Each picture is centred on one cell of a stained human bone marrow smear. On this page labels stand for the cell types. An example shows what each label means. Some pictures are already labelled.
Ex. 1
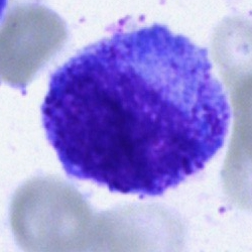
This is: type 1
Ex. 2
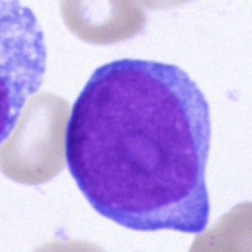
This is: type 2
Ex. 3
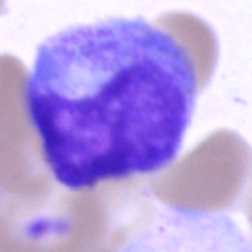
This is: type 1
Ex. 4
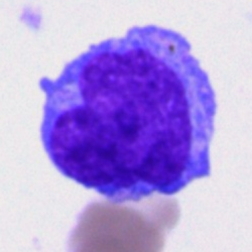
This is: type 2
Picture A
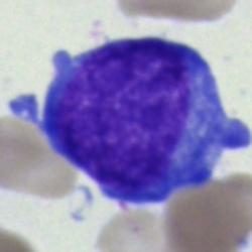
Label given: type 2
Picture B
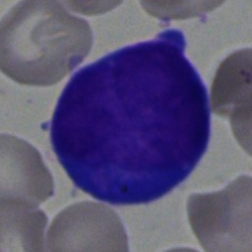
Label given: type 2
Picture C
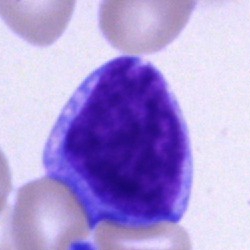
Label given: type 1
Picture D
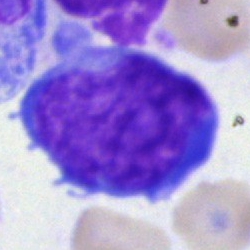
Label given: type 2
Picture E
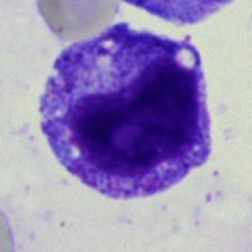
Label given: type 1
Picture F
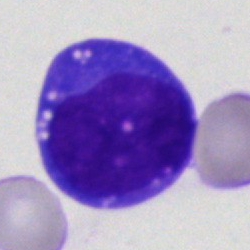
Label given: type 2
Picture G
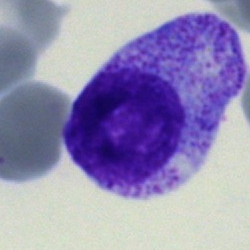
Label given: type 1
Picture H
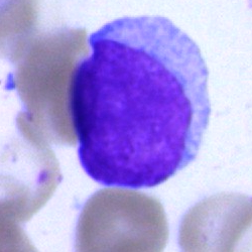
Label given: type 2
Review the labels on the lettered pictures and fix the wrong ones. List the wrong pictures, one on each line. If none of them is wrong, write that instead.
Wrong: C (type 1); correct: type 2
